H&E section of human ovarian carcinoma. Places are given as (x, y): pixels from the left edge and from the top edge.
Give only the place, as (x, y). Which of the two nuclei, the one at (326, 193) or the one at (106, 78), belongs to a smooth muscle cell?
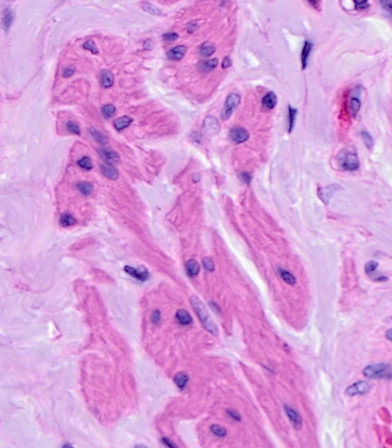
(106, 78)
